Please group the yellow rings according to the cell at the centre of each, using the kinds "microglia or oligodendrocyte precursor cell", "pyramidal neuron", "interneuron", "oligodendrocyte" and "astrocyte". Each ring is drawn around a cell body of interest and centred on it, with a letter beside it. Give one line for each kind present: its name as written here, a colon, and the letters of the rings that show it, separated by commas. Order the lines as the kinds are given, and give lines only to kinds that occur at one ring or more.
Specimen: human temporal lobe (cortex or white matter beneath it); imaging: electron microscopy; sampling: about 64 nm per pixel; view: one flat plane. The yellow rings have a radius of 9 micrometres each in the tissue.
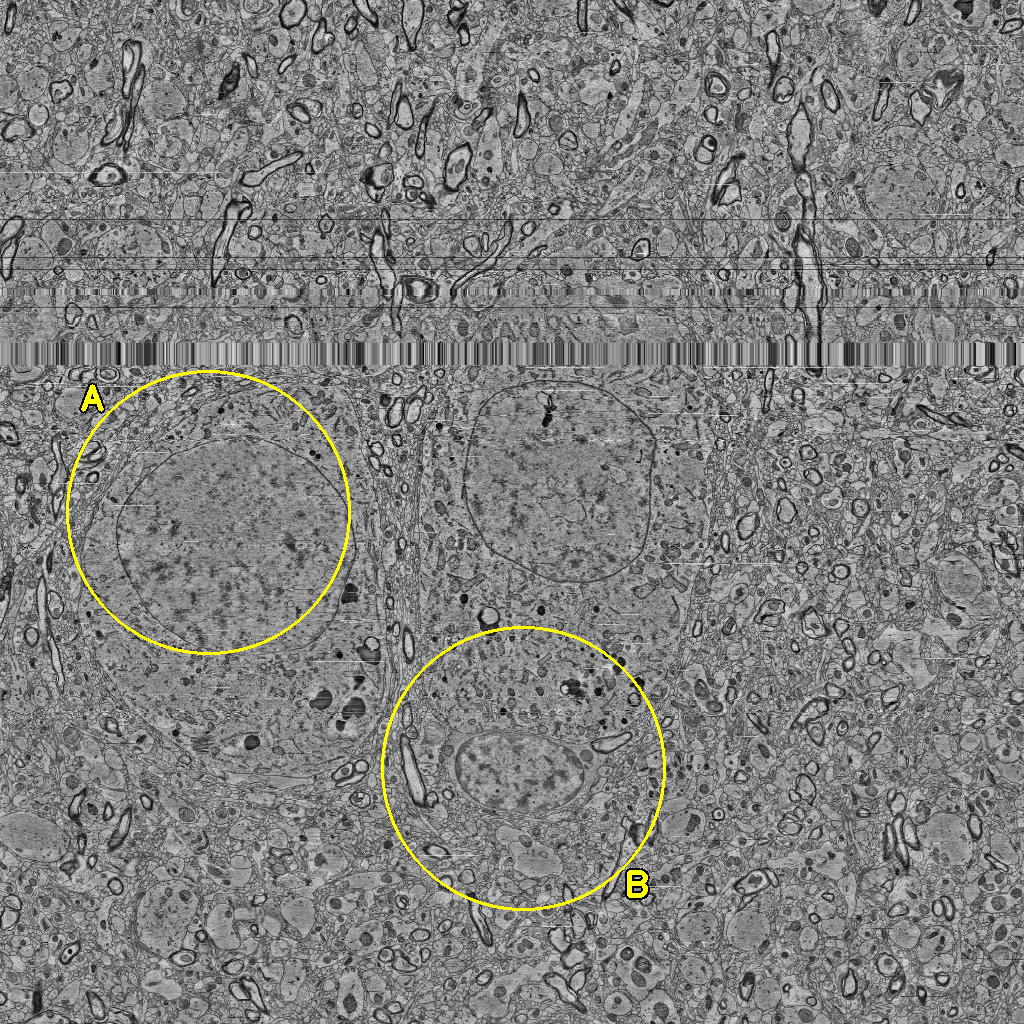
pyramidal neuron: A
oligodendrocyte: B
